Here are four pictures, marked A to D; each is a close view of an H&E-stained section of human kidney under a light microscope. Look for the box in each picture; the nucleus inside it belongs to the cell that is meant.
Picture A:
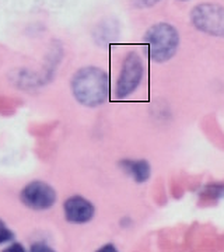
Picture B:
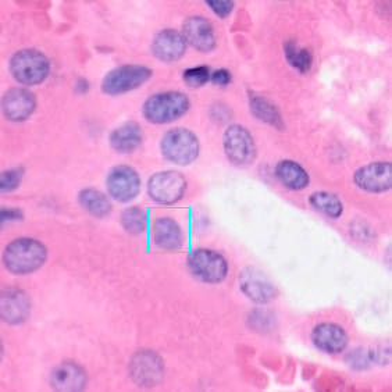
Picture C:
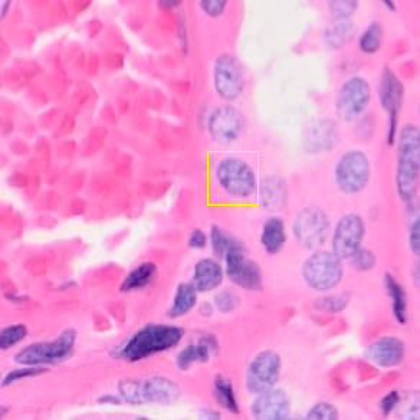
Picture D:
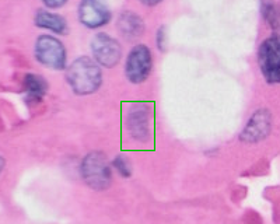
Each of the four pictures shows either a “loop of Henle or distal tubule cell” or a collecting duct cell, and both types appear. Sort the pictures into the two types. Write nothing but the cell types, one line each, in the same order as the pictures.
collecting duct cell
collecting duct cell
collecting duct cell
loop of Henle or distal tubule cell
